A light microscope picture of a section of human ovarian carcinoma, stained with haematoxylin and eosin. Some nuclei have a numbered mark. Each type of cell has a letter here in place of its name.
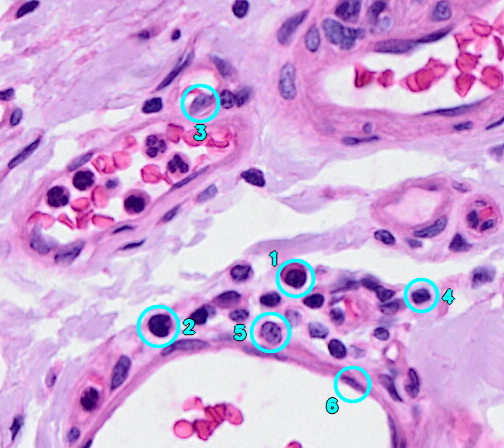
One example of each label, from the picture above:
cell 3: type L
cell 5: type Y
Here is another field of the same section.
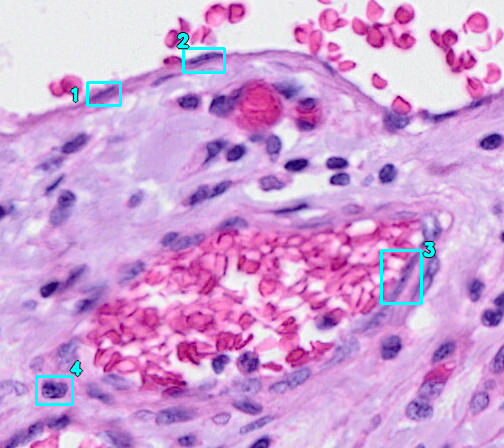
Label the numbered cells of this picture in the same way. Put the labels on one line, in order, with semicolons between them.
type L; type L; type L; type Y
